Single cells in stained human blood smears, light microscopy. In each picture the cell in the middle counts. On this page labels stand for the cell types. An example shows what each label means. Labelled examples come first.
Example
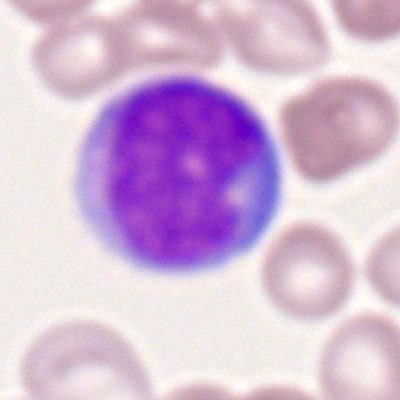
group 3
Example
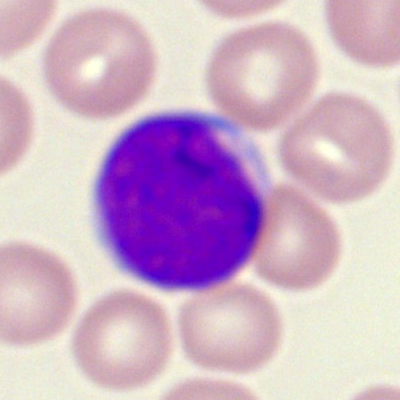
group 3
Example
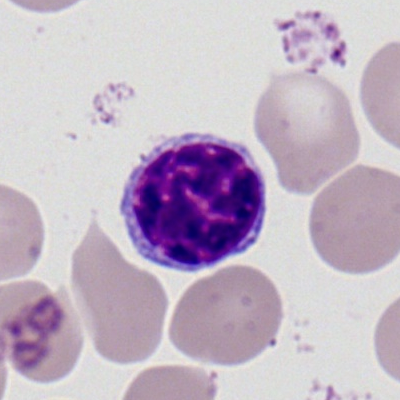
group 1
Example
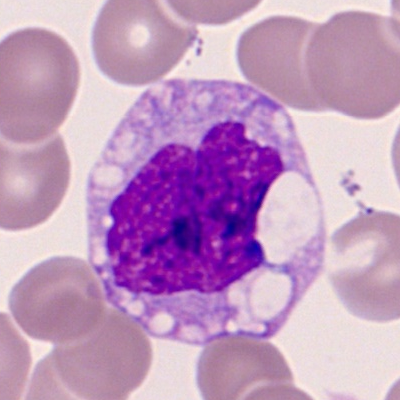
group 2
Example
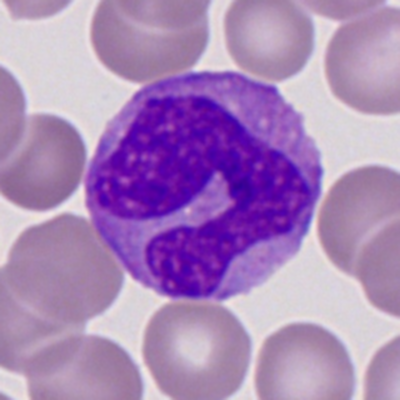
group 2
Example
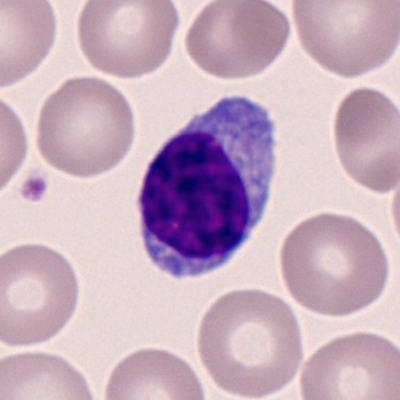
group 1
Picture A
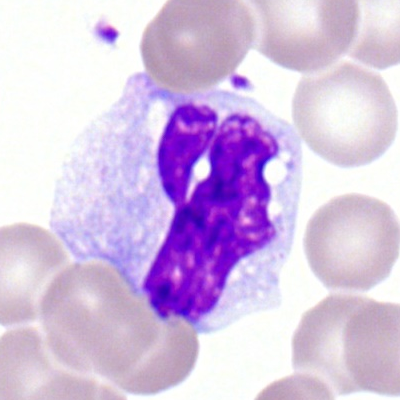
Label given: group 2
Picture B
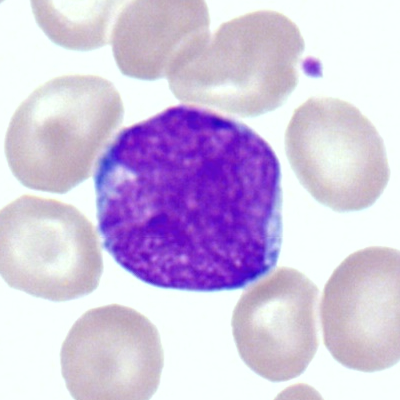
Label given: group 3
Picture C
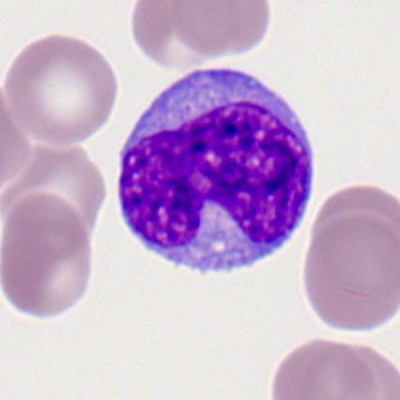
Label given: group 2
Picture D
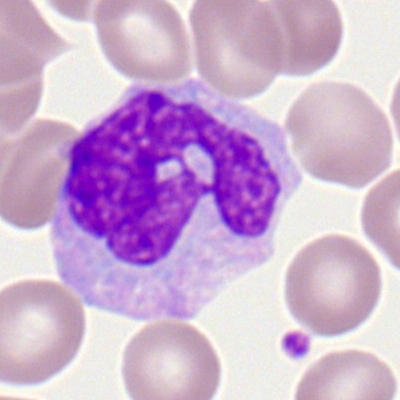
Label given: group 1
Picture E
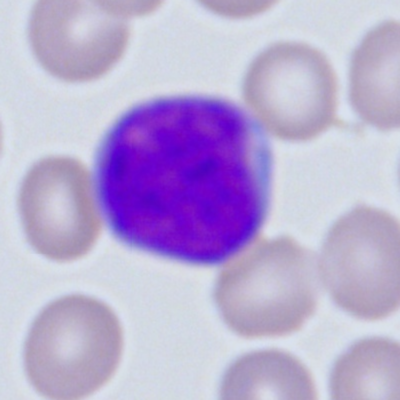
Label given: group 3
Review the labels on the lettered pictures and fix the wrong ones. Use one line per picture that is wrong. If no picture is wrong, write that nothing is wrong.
D: not group 1 but group 2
